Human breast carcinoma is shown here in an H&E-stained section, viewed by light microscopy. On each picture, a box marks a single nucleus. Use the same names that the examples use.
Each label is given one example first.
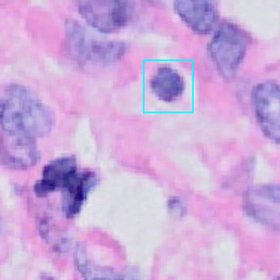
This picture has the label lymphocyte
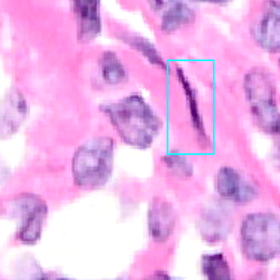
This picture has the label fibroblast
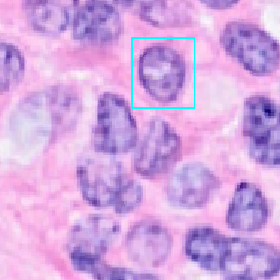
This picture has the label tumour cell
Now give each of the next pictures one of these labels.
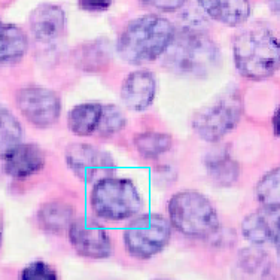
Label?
tumour cell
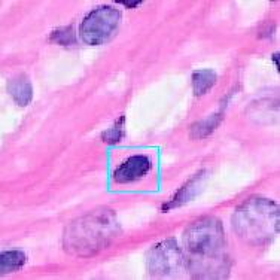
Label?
lymphocyte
